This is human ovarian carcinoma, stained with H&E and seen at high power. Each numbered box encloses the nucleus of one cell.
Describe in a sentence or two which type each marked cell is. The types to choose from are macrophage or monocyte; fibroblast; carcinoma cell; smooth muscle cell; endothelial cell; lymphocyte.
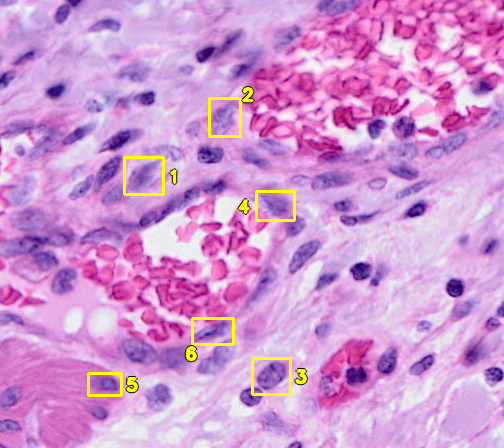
Cell 1 is a fibroblast, cell 2 is an endothelial cell, cell 3 is a macrophage or monocyte, cell 4 is an endothelial cell, cell 5 is a smooth muscle cell and cell 6 is an endothelial cell.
